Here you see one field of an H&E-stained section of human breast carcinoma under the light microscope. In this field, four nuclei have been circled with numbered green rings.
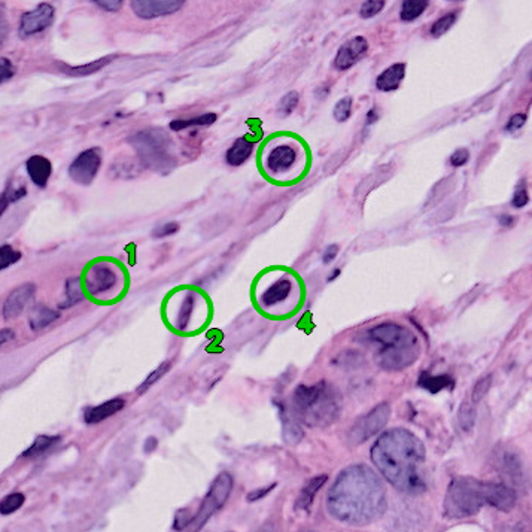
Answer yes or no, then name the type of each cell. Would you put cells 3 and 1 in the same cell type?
No, as to type, cell 3 is a lymphocyte, and cell 1 is an endothelial cell.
